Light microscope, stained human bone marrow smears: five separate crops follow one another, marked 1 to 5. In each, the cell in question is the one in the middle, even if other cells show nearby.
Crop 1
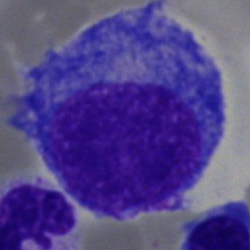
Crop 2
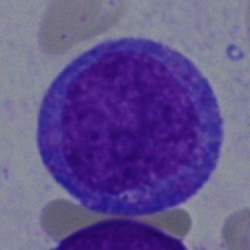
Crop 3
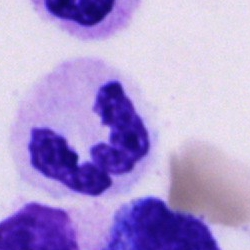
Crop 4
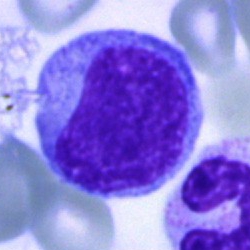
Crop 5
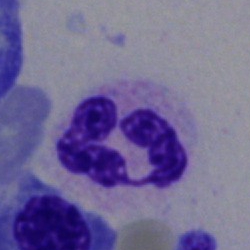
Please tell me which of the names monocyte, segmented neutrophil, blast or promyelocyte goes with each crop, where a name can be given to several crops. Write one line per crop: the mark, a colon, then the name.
1: promyelocyte
2: promyelocyte
3: segmented neutrophil
4: blast
5: segmented neutrophil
